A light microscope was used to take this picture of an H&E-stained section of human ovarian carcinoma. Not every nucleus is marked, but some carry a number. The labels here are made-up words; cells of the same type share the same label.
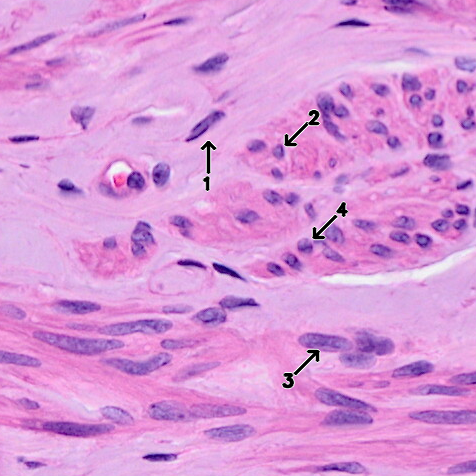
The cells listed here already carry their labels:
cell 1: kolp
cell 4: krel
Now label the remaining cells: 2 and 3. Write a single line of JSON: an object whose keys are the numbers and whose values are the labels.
{"2": "krel", "3": "krel"}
